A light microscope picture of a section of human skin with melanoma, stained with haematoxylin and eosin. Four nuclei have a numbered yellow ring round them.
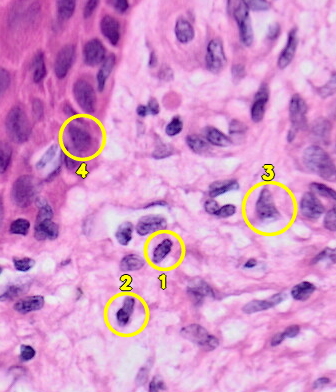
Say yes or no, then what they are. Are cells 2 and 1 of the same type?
Yes, the two cells, 2 and 1, are both lymphocytes.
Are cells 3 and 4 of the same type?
No, cell 3 here is a fibroblast or myofibroblast, and cell 4 here is a keratinocyte.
